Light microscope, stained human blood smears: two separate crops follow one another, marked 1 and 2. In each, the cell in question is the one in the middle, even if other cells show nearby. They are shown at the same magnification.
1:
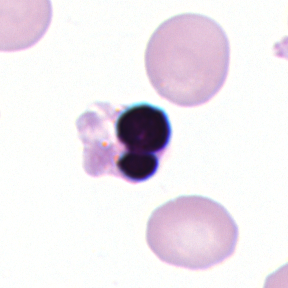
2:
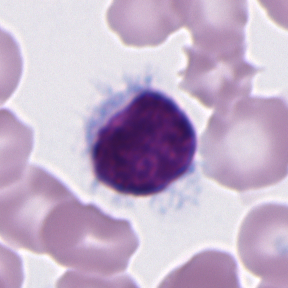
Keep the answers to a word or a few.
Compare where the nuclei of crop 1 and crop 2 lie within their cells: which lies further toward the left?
2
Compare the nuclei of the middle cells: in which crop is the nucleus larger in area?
2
